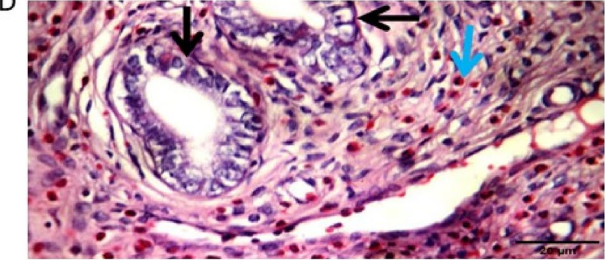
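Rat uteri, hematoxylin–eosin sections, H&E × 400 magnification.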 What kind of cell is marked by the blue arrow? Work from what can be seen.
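Eosinophils. Many small cells with red cytoplasm scattered through the stroma. They lie between purple stromal nuclei.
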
